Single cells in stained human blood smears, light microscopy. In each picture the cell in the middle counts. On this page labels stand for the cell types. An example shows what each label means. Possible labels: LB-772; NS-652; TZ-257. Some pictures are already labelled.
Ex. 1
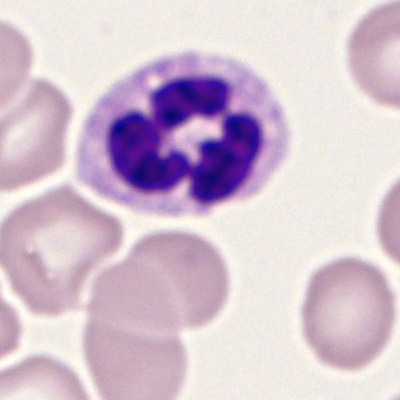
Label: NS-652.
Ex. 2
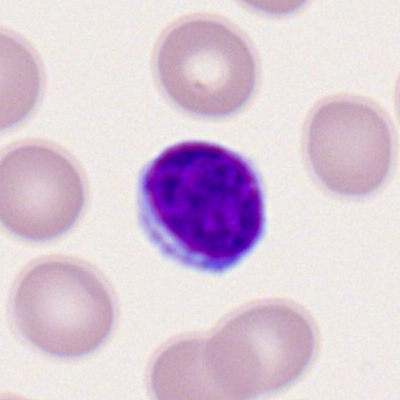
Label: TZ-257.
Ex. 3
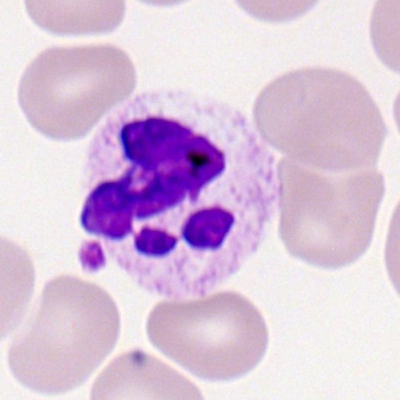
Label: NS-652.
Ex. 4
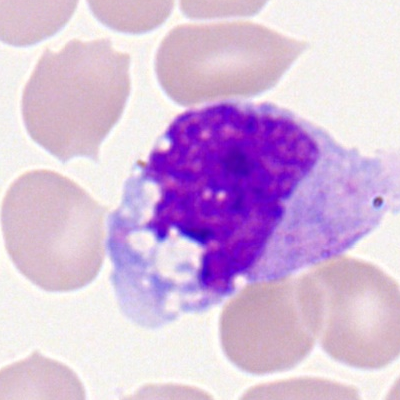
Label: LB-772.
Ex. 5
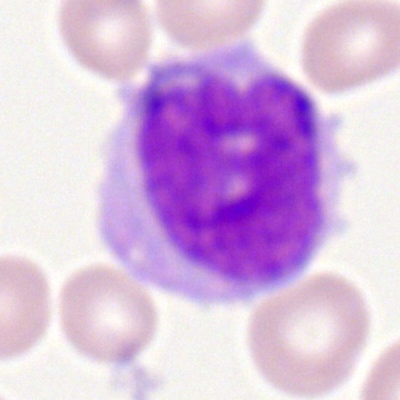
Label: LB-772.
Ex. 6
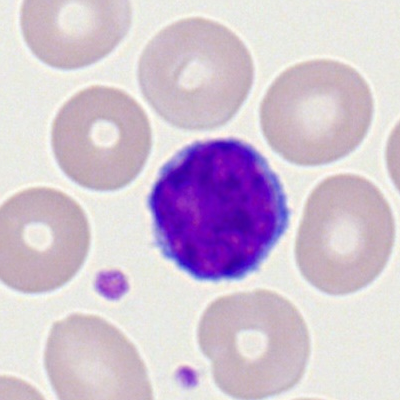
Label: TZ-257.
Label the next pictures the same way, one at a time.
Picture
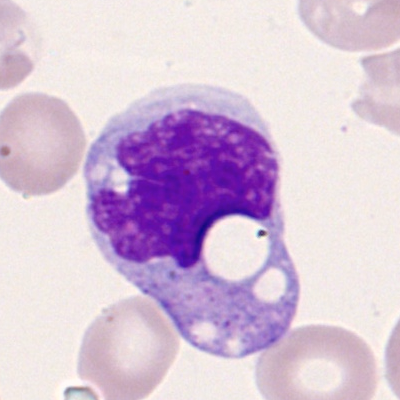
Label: LB-772.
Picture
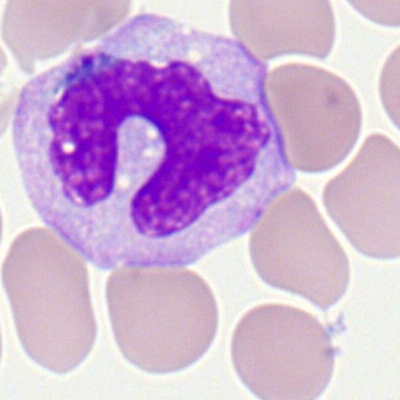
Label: LB-772.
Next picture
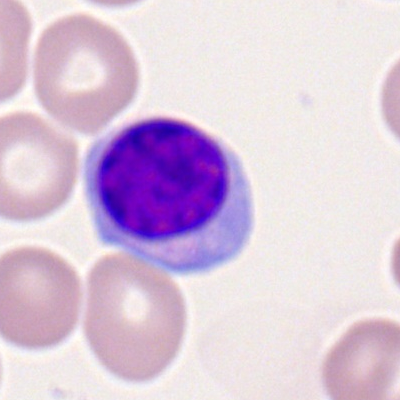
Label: TZ-257.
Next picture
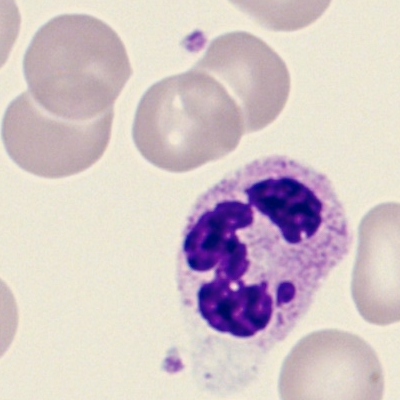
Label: NS-652.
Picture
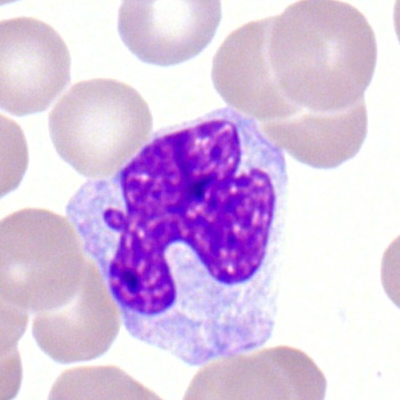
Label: LB-772.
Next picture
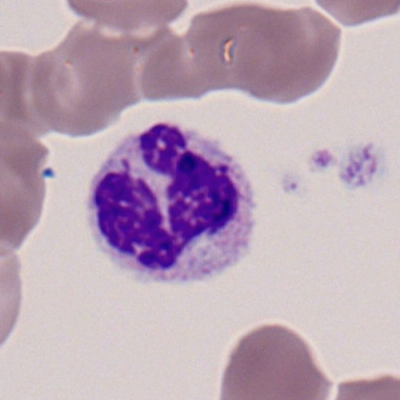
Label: NS-652.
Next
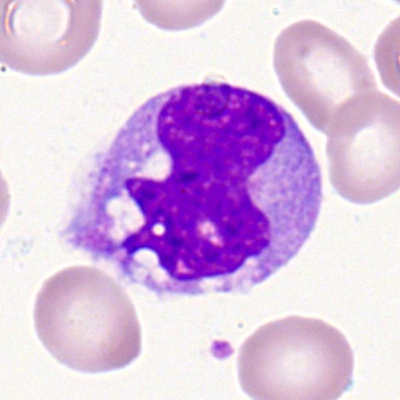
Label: LB-772.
